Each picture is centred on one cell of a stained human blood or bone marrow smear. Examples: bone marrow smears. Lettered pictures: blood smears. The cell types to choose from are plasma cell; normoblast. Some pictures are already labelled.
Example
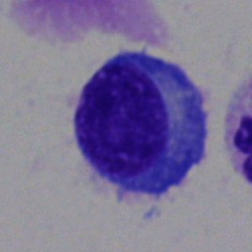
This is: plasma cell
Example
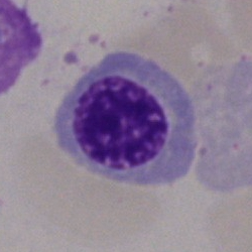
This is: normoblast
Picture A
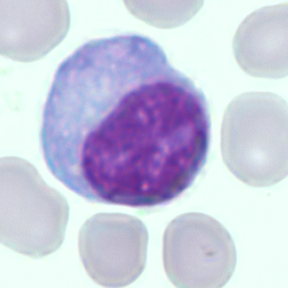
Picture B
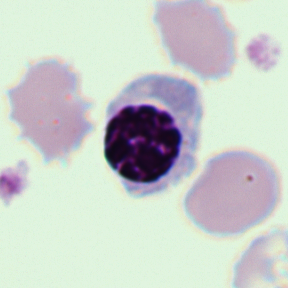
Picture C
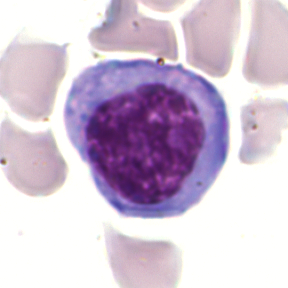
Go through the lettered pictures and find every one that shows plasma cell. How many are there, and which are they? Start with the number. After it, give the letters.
2: A, C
